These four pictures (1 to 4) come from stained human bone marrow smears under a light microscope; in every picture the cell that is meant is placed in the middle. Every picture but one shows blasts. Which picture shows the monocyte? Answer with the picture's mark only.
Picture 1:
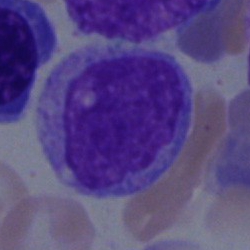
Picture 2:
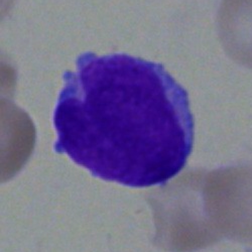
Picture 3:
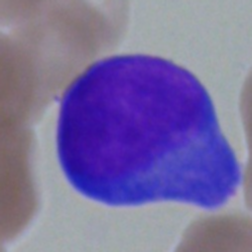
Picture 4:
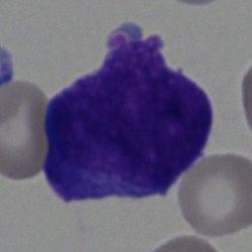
1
